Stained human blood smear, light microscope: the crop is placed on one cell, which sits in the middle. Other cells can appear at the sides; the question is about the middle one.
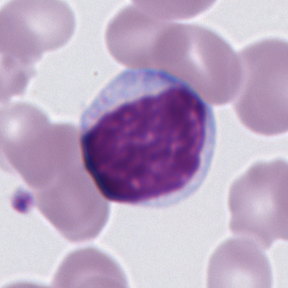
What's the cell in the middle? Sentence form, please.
The crop's centre is taken up by a large granular lymphocyte.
